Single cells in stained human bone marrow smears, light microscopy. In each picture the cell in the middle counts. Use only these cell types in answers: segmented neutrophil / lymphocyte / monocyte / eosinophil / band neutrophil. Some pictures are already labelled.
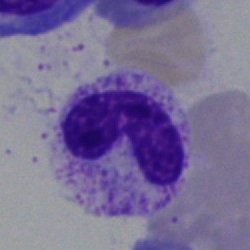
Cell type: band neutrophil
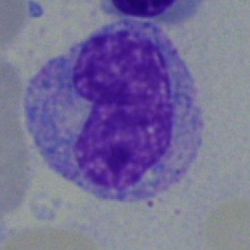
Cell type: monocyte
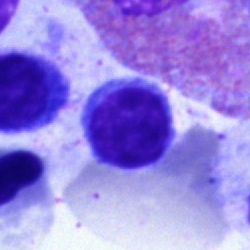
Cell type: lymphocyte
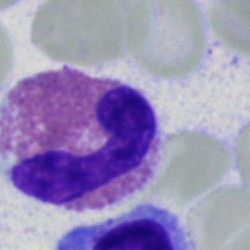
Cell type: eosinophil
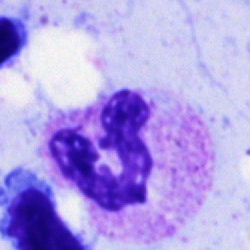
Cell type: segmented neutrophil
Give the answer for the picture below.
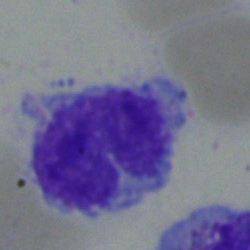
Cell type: monocyte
